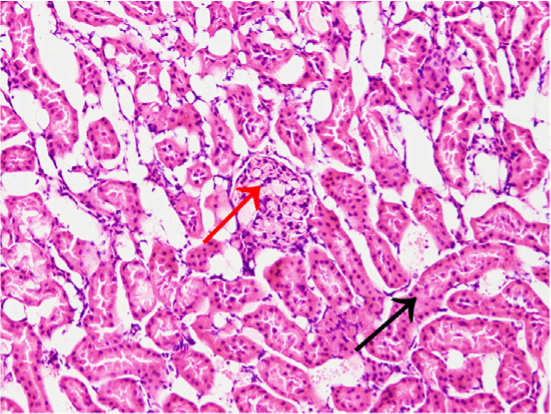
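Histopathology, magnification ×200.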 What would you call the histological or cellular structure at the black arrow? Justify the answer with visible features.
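The black arrow points to an elongated tube lined by a single layer of pink epithelial cells. The tubes have a central lumen and run in parallel and cross-section profiles.
Hence: kidney tubules.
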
